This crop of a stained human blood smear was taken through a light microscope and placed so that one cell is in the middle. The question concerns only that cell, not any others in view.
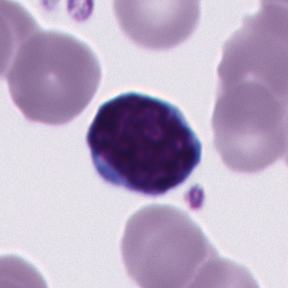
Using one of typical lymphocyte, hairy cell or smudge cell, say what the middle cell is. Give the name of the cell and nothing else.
typical lymphocyte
